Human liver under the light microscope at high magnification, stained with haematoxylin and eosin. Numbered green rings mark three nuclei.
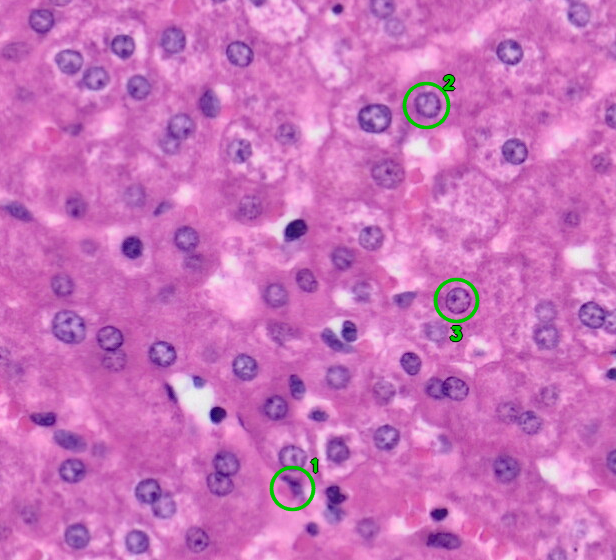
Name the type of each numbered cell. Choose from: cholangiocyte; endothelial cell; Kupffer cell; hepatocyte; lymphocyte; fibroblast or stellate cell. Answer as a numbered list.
1. fibroblast or stellate cell
2. hepatocyte
3. hepatocyte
